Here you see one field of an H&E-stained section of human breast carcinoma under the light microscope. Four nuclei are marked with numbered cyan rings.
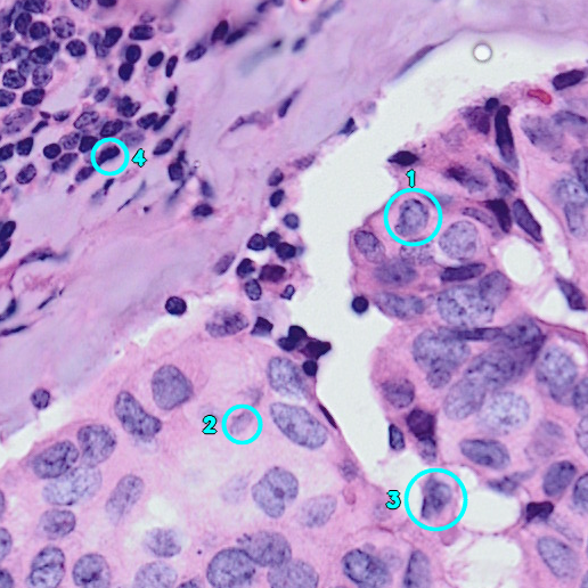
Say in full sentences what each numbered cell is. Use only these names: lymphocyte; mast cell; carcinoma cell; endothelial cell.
Cell 1 is a carcinoma cell, cell 2 is a carcinoma cell, cell 3 is a carcinoma cell and cell 4 is a lymphocyte.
